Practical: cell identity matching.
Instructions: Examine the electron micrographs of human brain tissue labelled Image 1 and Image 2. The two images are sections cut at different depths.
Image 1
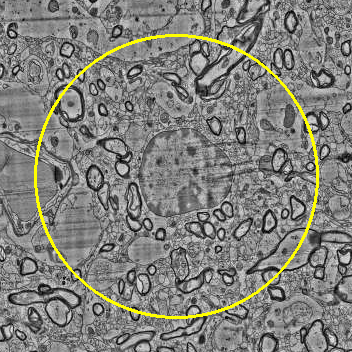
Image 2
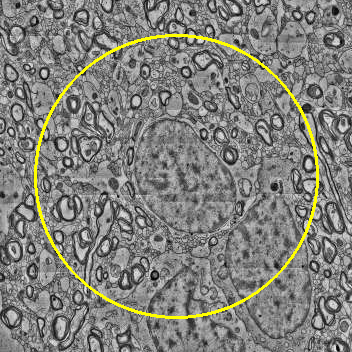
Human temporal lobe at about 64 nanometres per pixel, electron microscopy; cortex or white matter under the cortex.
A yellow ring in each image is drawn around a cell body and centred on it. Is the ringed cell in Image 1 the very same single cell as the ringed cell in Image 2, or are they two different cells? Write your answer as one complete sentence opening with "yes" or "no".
No, there are two different cells marked by the rings.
